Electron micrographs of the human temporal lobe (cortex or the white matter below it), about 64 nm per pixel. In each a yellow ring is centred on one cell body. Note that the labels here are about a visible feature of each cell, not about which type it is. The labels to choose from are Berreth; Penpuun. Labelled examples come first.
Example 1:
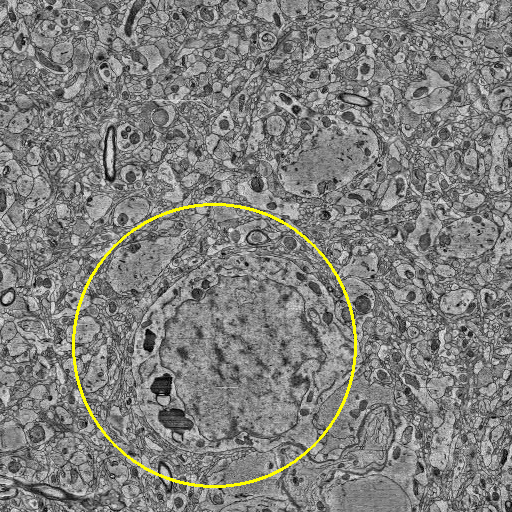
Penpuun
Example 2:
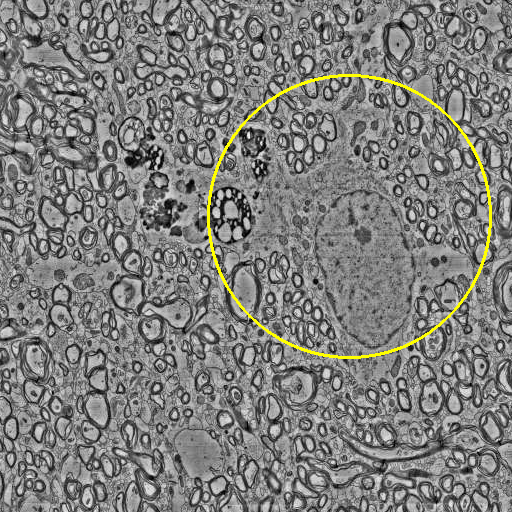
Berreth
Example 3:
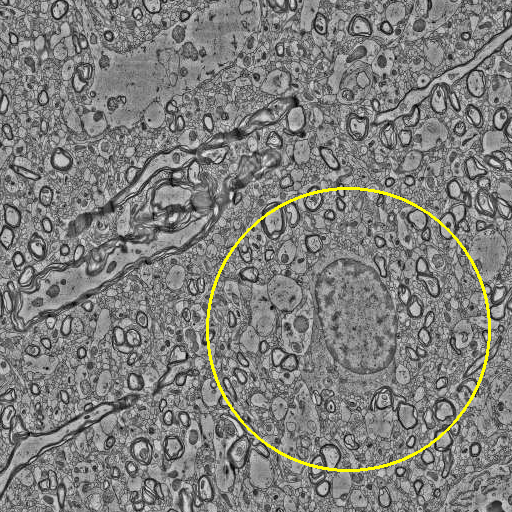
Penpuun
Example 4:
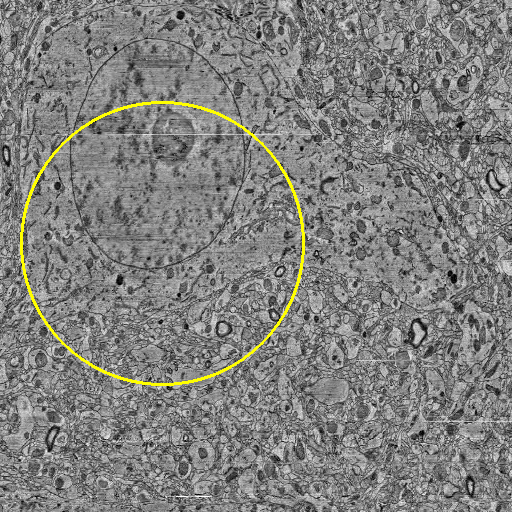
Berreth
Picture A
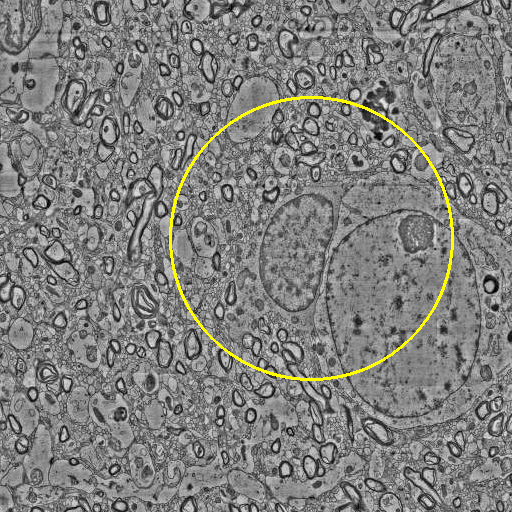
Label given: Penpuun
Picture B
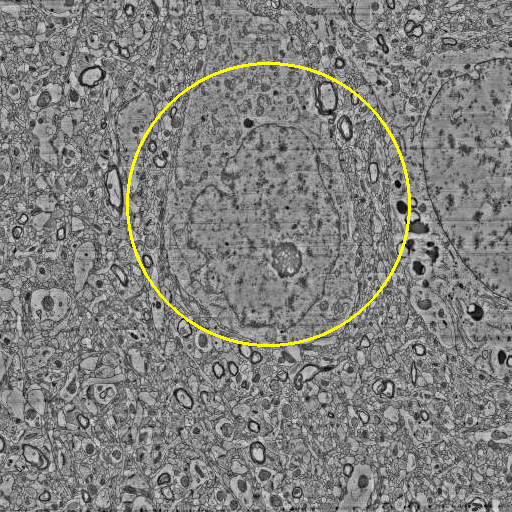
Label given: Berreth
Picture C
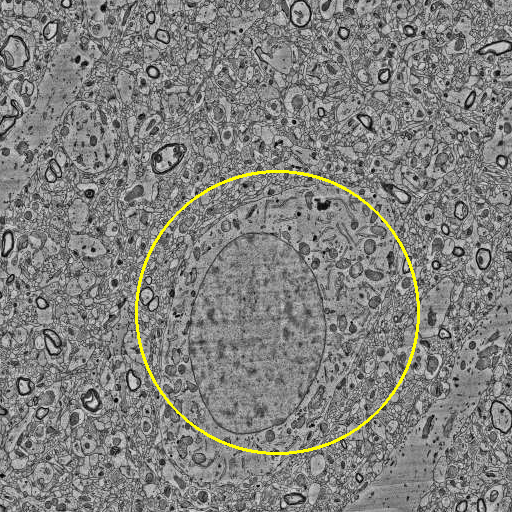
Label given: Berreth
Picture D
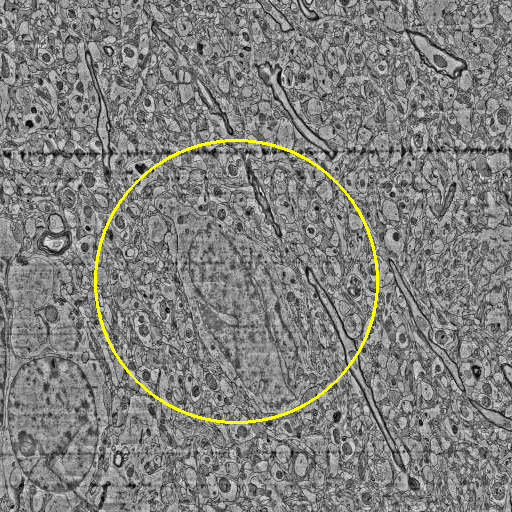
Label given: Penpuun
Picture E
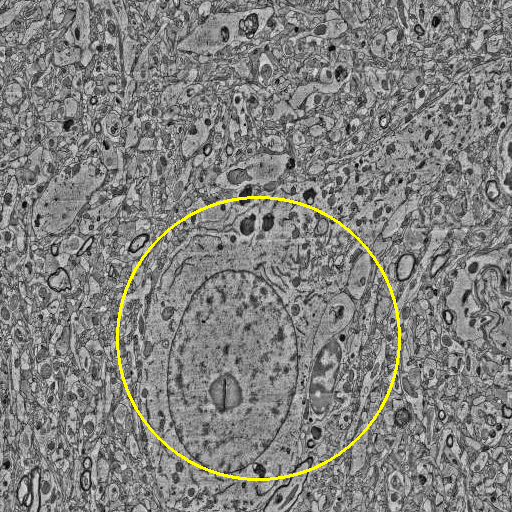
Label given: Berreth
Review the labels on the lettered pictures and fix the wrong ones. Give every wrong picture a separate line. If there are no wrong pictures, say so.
C: not Berreth but Penpuun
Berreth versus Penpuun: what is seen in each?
Berreth, nucleolus seen; Penpuun, no nucleolus seen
